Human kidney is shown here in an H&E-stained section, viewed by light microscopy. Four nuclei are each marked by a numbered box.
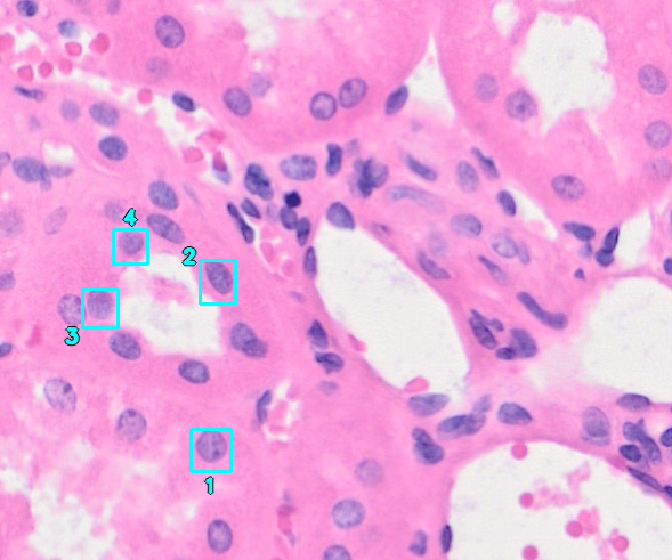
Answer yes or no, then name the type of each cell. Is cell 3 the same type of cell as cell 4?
Yes, briefly put, cells 3 and 4 are both loop of Henle or distal tubule cells.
